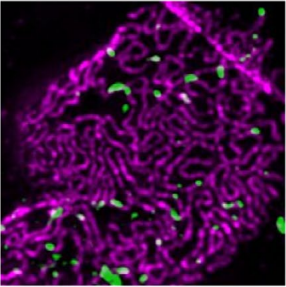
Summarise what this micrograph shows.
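This super-resolution image shows the filtration slits of a glomerular capillary loop seen face-on. The magenta label draws a dense, regular, serpentine network of fine parallel loops, the interdigitating slits between podocyte foot processes, with a brighter edge where the capillary wall curves away. The green label is confined to small, separate dots and short dashes scattered over this network, only a few of which overlap the magenta lines to appear white, so the green is focal rather than lining the slits.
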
